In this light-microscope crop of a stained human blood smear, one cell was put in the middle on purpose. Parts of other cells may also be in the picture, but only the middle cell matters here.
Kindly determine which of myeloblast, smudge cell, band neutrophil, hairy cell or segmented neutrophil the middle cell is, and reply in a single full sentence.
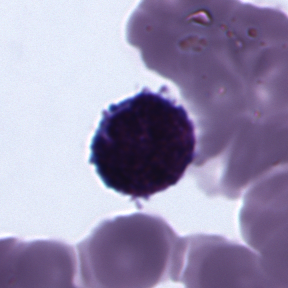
The identification for the central cell is a myeloblast.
